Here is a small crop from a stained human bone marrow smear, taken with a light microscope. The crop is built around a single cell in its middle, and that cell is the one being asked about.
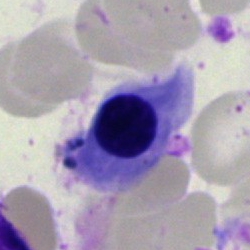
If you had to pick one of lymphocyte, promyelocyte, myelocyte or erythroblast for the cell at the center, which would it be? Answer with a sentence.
The cell sitting right in the middle is an erythroblast.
